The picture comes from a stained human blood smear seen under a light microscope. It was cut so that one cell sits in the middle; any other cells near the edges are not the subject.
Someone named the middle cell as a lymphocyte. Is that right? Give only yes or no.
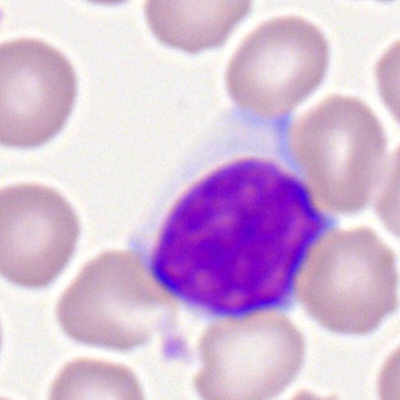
yes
